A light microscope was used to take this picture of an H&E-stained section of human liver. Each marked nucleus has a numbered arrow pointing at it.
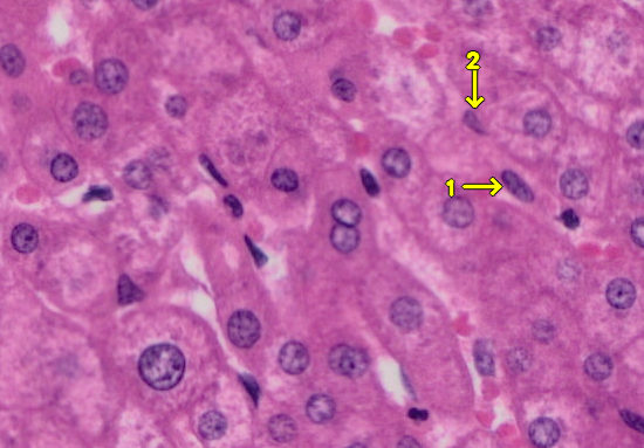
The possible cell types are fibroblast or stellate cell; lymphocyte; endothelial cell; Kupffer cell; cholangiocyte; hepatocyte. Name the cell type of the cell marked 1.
Kupffer cell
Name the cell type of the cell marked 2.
endothelial cell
